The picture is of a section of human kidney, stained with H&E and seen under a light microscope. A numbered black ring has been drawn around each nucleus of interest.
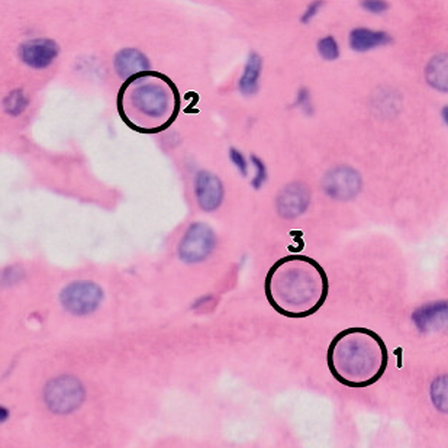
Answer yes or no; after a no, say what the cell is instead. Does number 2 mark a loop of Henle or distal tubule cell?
Yes.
